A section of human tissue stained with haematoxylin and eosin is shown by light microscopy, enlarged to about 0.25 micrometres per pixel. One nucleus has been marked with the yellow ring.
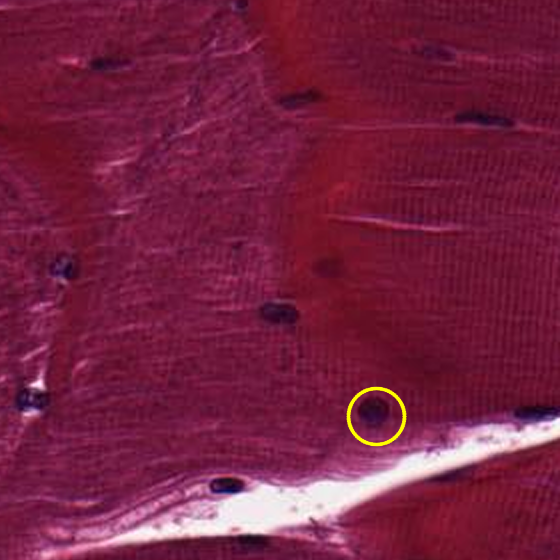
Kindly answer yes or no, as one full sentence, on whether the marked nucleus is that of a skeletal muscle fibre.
Yes, the marked nucleus is found within a skeletal muscle fibre.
